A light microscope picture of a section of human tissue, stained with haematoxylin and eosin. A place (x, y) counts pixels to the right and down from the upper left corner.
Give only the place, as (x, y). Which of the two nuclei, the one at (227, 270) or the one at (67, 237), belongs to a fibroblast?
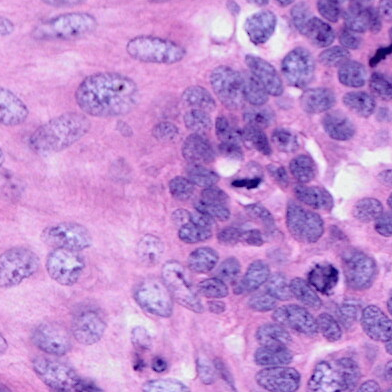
(67, 237)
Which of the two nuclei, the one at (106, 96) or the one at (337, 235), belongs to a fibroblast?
(106, 96)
